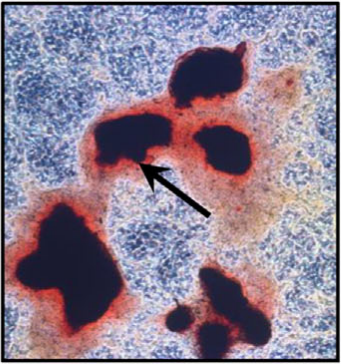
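A cultured osteoblast cell layer seen in phase contrast carries several large mineralised bone nodules. The nodules are opaque and nearly black, with irregular outlines and sharp red-stained rims. A paler orange-red zone spreads around them into the surrounding layer. Between the nodules the layer is a dense sheet of small, closely packed cells seen in bluish-grey tones.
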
